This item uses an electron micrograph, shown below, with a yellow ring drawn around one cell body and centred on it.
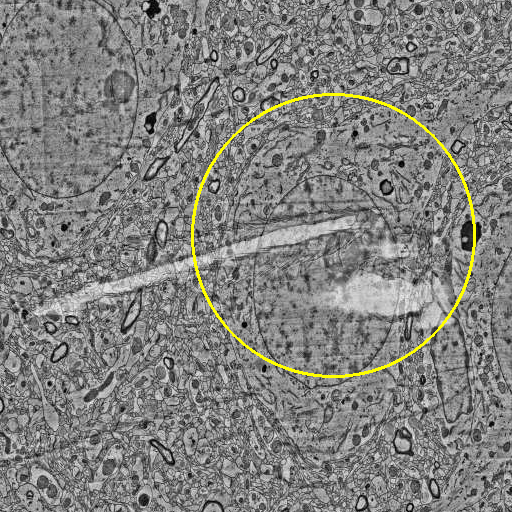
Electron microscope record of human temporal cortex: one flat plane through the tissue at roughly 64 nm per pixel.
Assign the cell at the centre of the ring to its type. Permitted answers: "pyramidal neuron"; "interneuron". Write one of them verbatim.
pyramidal neuron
